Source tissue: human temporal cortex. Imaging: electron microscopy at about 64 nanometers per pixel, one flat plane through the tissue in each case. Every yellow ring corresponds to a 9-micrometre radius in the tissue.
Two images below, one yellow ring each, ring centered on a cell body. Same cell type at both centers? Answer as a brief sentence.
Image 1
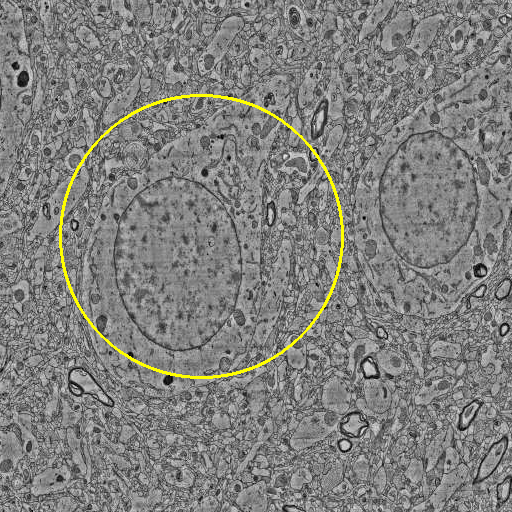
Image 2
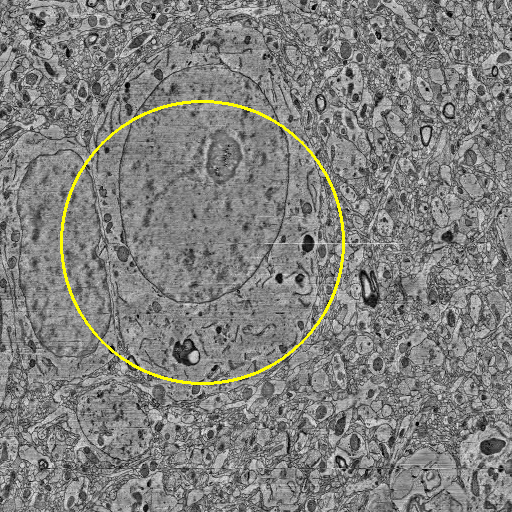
Yes, both cells are of the same type.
